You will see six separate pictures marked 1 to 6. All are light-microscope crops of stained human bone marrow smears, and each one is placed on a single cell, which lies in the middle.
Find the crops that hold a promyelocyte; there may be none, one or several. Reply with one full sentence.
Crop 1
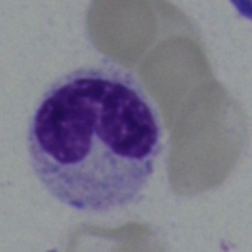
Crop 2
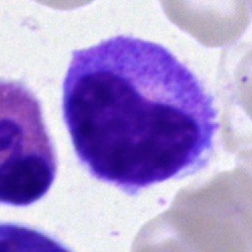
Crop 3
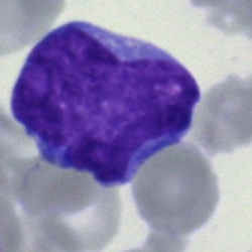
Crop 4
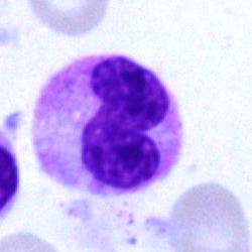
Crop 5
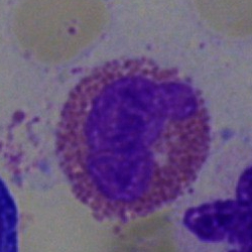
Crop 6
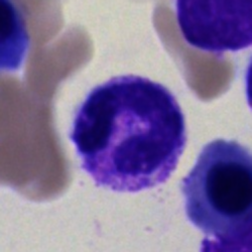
Apart from crop 2, no crop shows a promyelocyte.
